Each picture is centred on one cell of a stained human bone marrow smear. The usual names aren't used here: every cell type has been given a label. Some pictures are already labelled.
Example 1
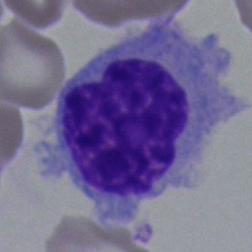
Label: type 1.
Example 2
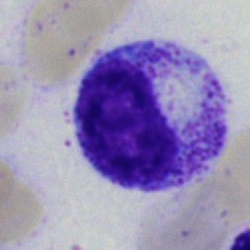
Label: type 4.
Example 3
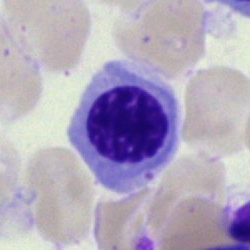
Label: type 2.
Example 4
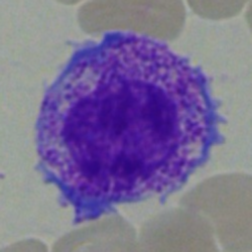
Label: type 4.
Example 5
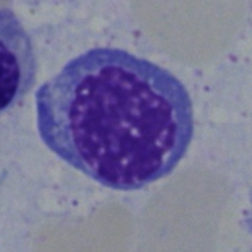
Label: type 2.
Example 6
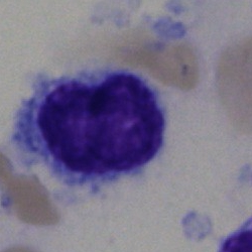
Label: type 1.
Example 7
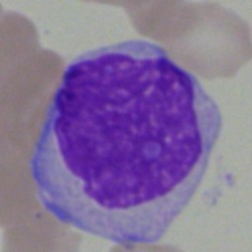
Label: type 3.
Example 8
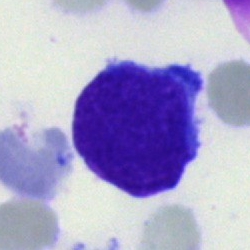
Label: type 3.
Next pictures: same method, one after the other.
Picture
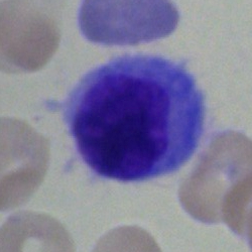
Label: type 1.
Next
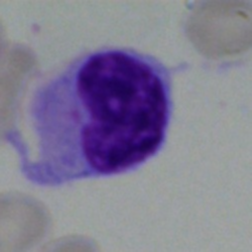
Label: type 1.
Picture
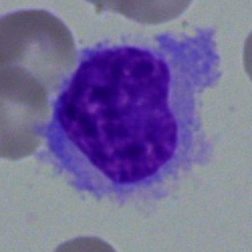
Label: type 1.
